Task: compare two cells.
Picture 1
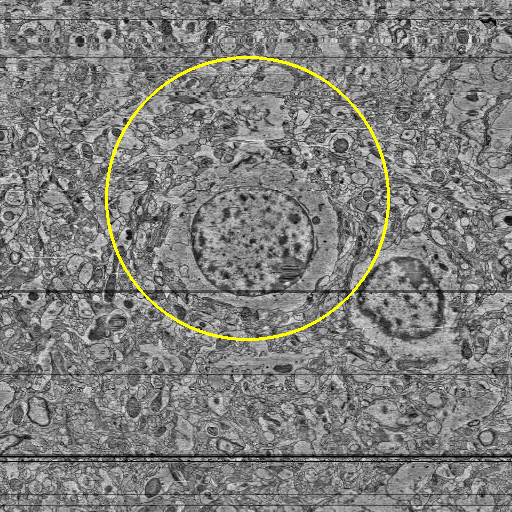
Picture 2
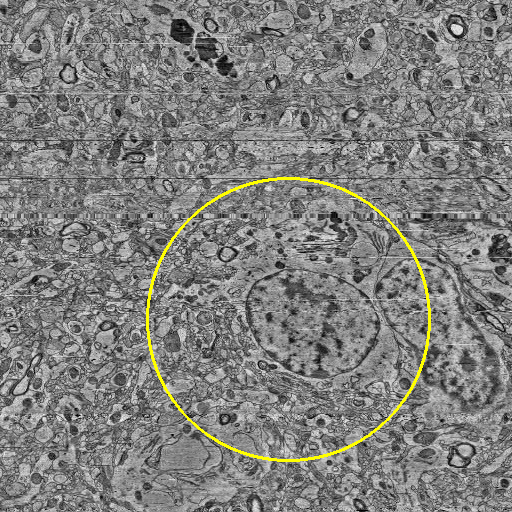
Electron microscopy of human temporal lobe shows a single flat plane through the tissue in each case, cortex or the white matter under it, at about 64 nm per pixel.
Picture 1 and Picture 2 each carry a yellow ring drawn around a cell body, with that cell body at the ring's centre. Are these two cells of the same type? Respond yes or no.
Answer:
yes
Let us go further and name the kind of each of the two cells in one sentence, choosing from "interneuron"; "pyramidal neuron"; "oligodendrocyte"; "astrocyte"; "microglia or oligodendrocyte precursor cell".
Each of the two cells is an astrocyte.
